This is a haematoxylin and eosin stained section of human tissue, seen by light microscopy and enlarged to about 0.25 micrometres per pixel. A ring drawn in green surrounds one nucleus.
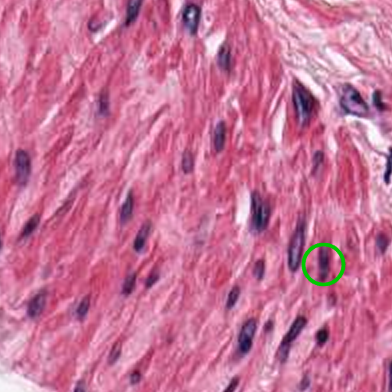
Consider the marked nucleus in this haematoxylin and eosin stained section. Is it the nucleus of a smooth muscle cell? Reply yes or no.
yes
